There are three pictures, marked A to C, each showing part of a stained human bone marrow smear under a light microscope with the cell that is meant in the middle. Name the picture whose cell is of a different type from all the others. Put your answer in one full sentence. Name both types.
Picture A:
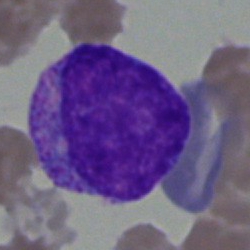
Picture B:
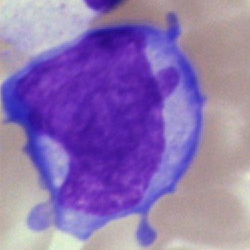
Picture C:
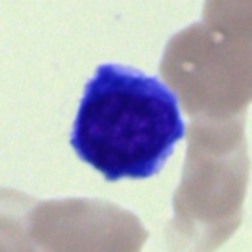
Picture C is the odd one out: it shows an erythroblast, while the others show blasts.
